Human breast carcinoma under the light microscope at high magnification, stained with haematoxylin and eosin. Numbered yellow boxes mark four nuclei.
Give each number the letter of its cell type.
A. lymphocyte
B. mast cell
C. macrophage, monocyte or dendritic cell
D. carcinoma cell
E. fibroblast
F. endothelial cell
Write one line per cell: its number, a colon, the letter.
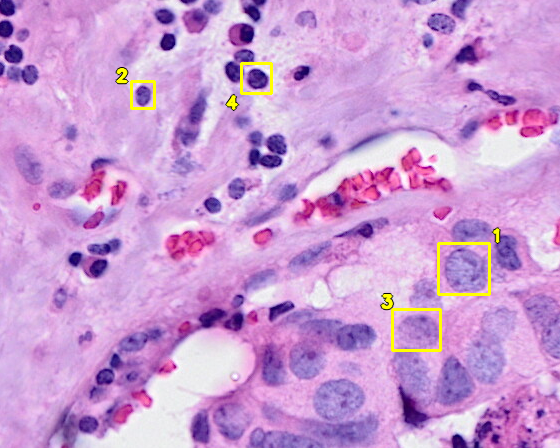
1: D
2: A
3: D
4: A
